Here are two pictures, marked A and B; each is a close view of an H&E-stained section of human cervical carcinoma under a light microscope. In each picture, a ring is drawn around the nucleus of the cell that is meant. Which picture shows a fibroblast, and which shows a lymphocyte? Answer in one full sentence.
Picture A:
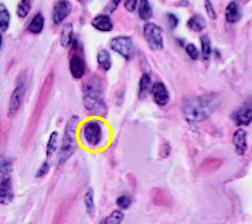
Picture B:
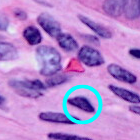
The cell in picture A is a lymphocyte, and the one in picture B is a fibroblast.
